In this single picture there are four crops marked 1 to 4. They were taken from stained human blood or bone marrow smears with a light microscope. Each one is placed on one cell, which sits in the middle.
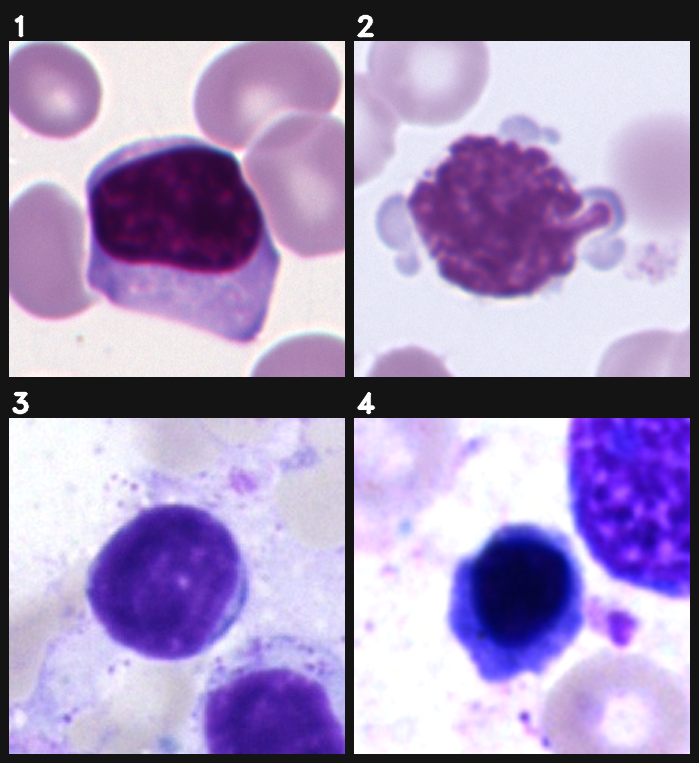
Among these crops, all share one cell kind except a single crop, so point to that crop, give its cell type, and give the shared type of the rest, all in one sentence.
Crop 4 stands apart as an erythroblast, whereas the remaining crops all show lymphocytes.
